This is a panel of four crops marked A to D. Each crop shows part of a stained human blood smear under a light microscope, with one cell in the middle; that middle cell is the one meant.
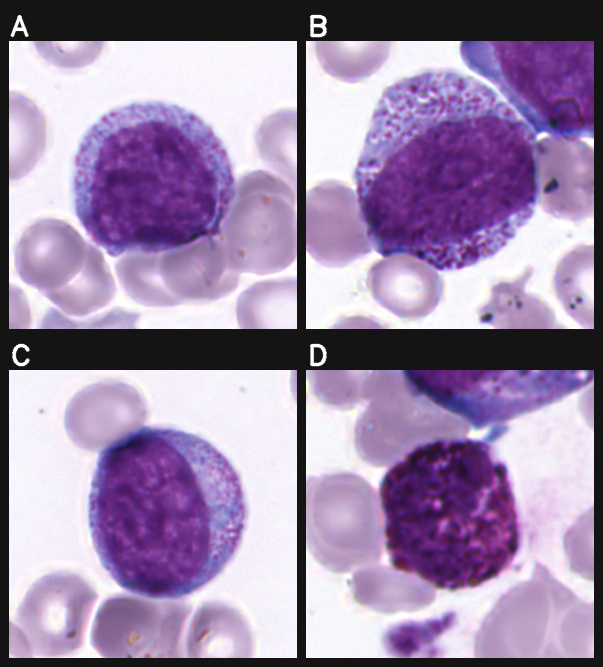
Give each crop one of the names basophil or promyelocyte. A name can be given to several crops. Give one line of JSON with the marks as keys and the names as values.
{"A": "promyelocyte", "B": "promyelocyte", "C": "promyelocyte", "D": "basophil"}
